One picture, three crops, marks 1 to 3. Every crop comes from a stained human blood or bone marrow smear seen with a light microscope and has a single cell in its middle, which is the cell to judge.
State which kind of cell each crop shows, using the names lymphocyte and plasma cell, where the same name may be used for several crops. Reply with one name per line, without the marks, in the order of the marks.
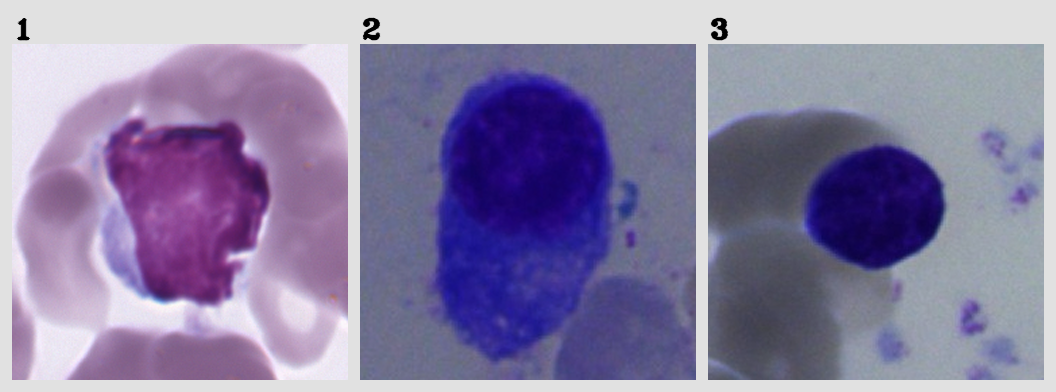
lymphocyte
plasma cell
lymphocyte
